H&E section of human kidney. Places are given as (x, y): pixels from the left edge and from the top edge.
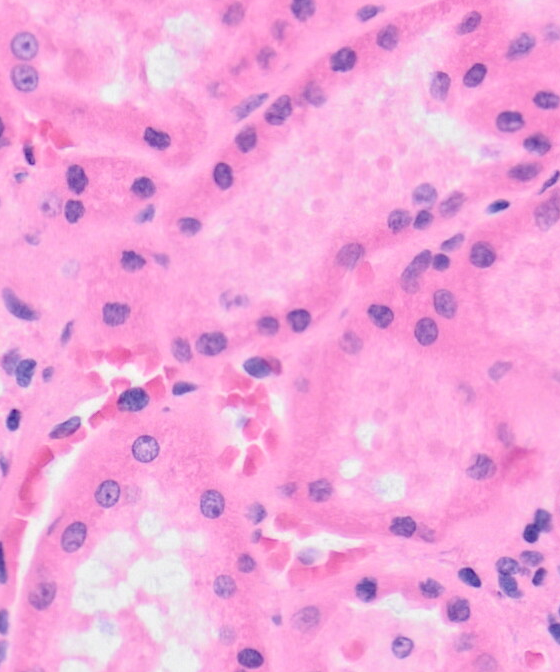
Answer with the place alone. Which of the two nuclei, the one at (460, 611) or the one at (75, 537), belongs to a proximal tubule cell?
(75, 537)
